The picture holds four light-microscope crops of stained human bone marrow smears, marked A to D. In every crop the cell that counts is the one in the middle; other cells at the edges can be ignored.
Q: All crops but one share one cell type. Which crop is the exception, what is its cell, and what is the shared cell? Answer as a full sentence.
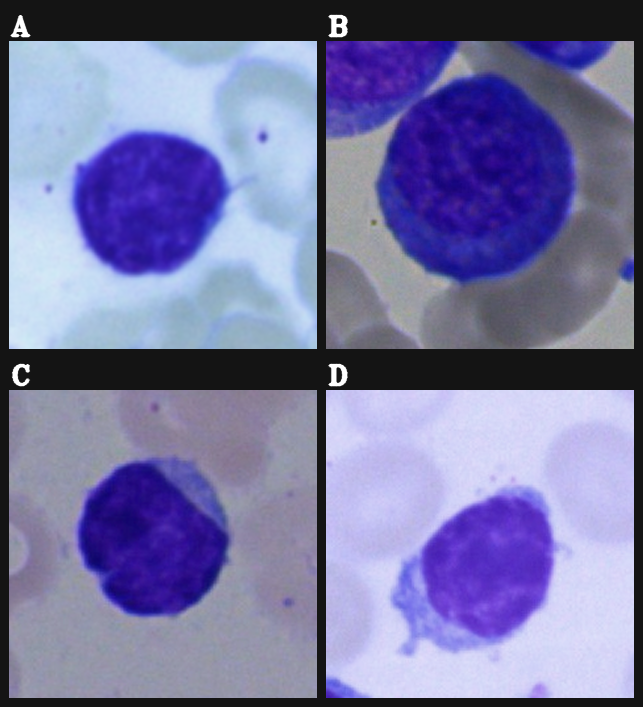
While crop B shows a plasma cell, the other crops all show lymphocytes.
